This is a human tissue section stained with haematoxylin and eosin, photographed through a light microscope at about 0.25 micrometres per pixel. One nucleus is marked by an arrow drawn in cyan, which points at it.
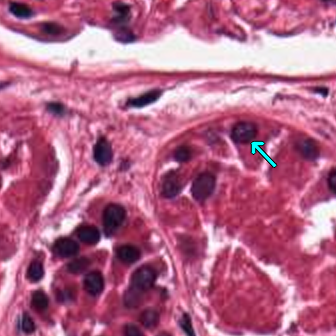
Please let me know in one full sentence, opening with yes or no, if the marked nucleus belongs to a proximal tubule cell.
Yes, the nucleus singled out in the image belongs to a proximal tubule cell.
